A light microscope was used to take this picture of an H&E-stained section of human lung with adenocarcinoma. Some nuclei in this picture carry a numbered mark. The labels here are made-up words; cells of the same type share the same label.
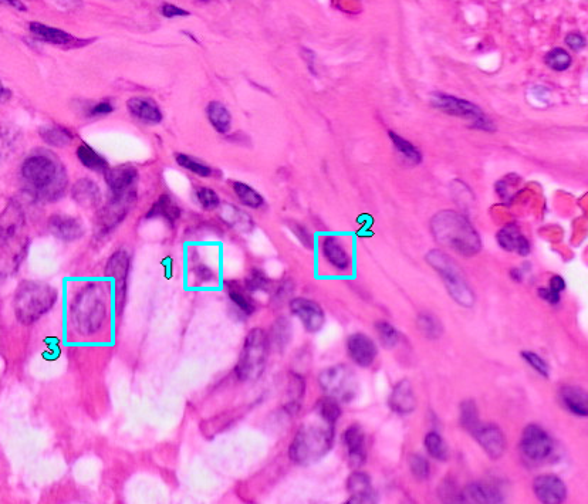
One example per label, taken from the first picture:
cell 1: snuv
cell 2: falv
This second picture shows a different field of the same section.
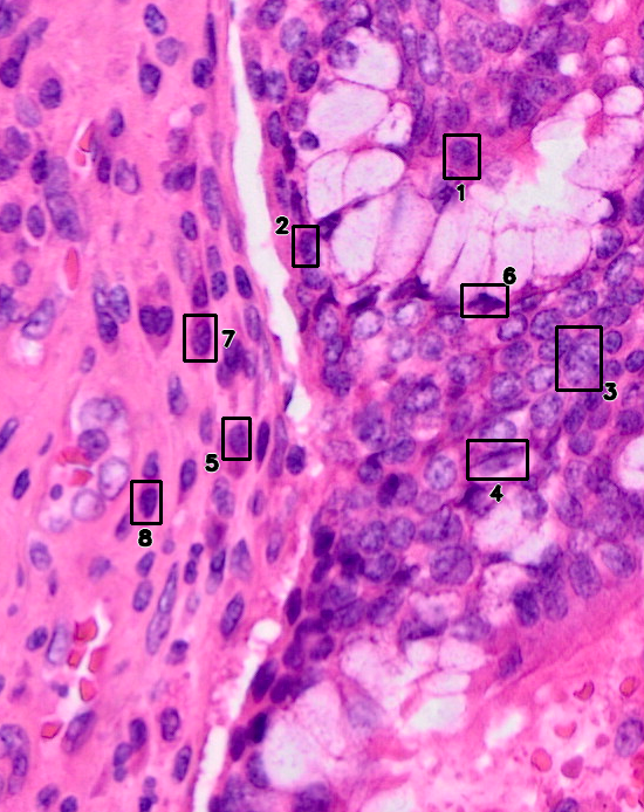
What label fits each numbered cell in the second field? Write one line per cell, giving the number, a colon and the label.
1: snuv
2: snuv
3: snuv
4: snuv
5: falv
6: snuv
7: falv
8: falv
